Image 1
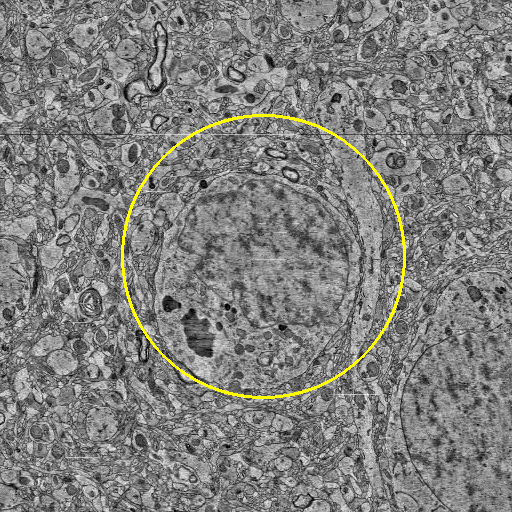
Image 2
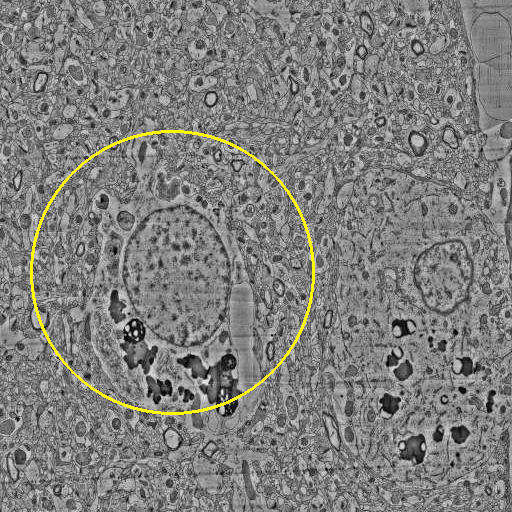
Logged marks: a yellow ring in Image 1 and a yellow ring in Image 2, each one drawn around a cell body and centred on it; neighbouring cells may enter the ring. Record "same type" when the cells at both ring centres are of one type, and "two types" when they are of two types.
two types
